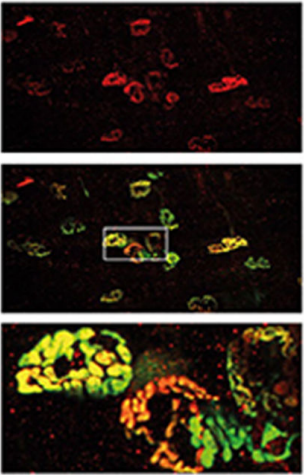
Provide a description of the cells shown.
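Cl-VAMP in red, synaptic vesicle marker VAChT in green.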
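Motor axon terminals at neuromuscular junctions of a skeletal muscle appear as compact, branched clusters scattered across the field. Red staining outlines many of these terminals, and where it overlaps the green the clusters look yellow to orange, as the enlarged view shows in its branched arborizations.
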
